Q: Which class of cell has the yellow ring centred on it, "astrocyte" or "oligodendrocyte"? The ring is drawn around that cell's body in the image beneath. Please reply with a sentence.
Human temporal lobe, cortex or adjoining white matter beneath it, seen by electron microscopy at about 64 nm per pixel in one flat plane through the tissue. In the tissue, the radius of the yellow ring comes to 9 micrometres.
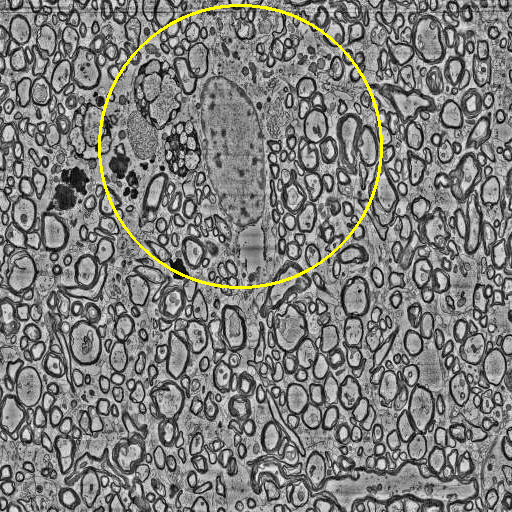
It is centred on an astrocyte.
